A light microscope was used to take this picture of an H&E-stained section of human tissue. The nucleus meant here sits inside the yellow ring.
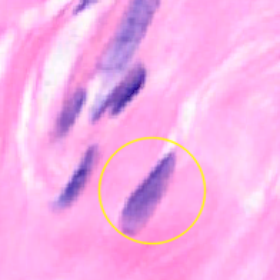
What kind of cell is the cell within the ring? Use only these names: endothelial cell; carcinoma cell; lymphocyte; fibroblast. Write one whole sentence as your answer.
By its classification, the cell within the ring is a fibroblast.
